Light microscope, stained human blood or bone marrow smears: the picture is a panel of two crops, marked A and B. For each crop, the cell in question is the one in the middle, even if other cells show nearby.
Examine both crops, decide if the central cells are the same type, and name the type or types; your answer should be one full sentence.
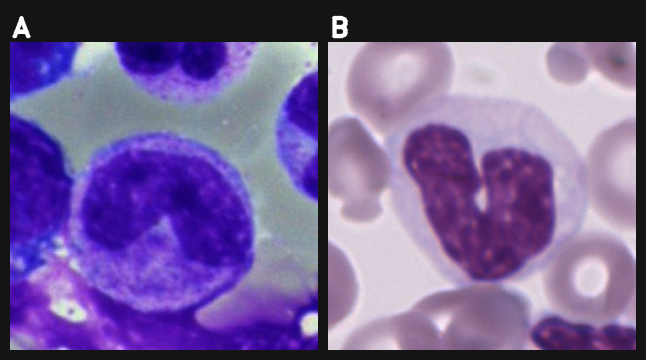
Yes, the cells in the centres of the two crops are band neutrophils.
